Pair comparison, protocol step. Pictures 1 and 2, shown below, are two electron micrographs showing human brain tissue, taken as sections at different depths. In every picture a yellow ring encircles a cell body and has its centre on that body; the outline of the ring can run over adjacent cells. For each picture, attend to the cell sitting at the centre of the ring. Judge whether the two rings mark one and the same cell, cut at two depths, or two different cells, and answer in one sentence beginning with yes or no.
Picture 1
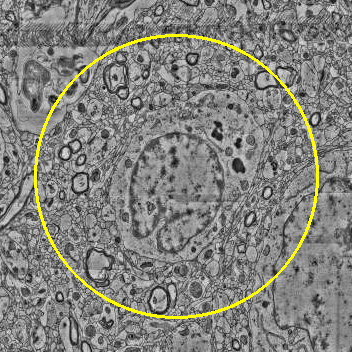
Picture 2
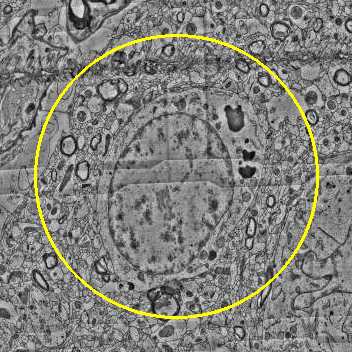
Yes, a single cell is the subject of both yellow rings.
